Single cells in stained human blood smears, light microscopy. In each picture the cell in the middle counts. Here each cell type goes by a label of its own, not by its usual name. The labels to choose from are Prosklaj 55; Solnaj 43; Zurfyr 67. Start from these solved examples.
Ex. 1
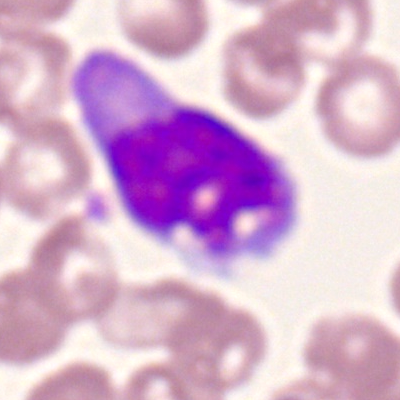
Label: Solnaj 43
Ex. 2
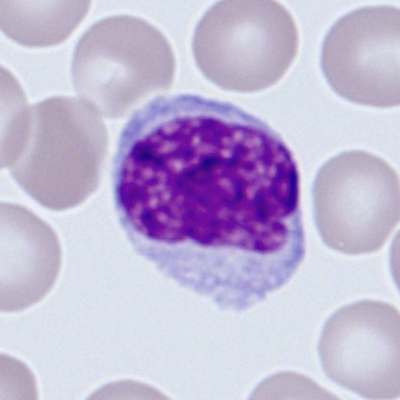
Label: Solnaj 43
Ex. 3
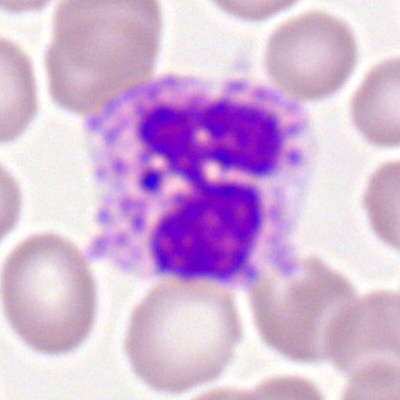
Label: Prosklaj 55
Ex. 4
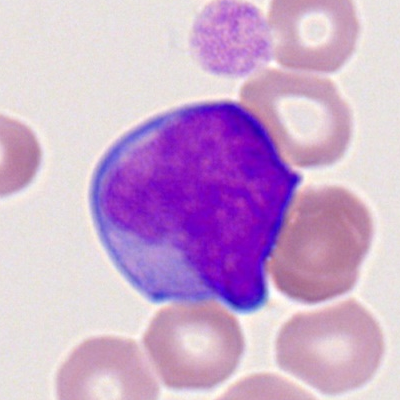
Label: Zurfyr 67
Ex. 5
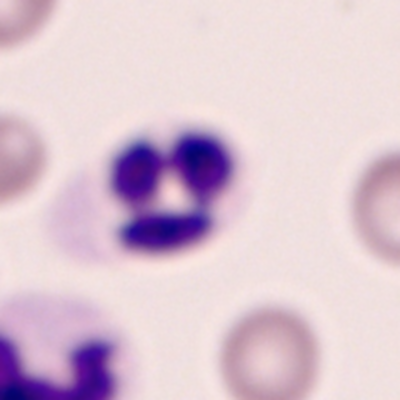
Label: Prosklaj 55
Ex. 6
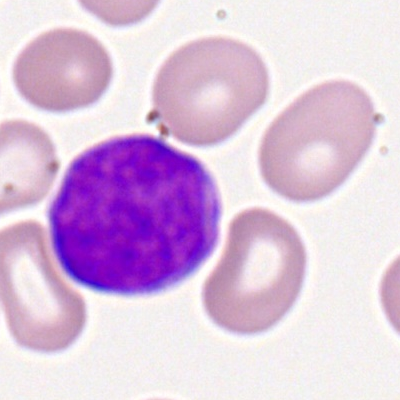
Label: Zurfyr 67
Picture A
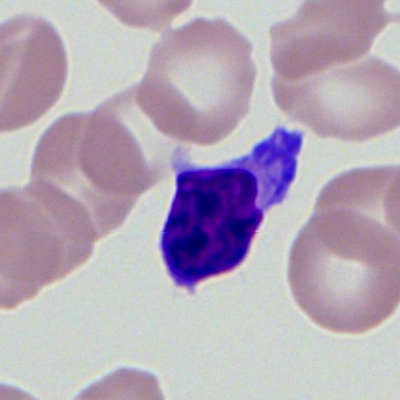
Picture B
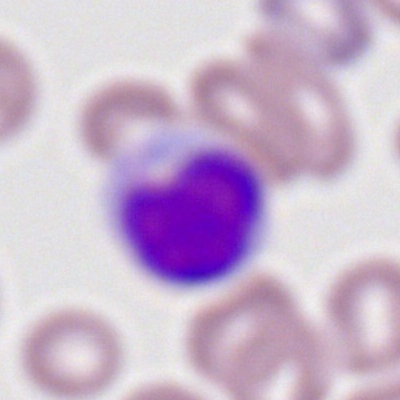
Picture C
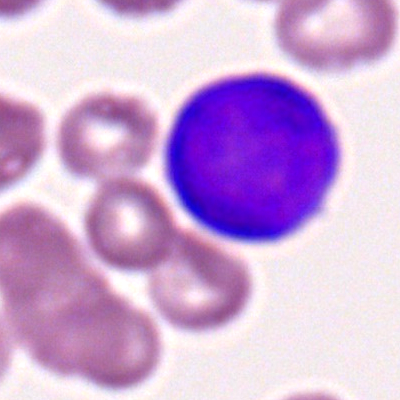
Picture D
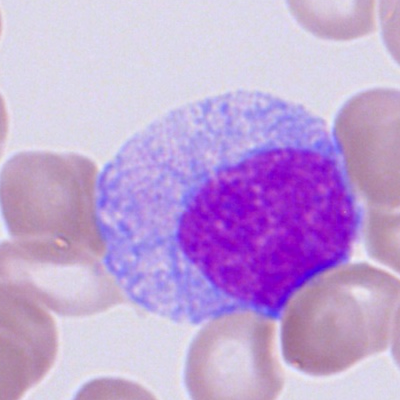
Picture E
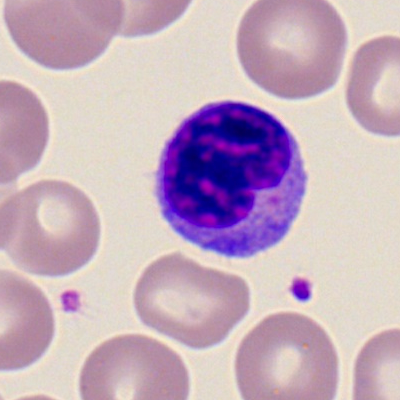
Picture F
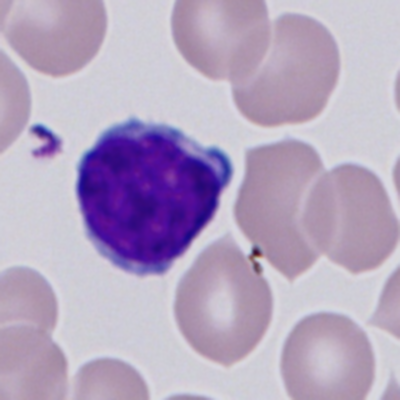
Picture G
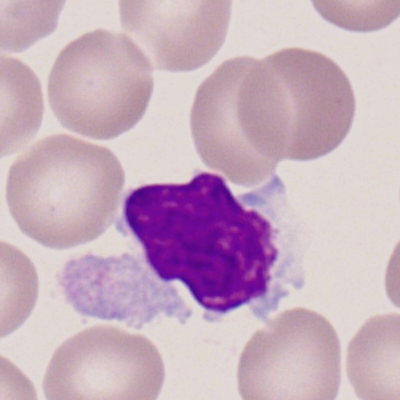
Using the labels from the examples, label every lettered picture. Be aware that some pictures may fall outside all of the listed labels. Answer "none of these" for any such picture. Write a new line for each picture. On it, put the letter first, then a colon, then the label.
A: none of these
B: none of these
C: Zurfyr 67
D: Solnaj 43
E: none of these
F: none of these
G: none of these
